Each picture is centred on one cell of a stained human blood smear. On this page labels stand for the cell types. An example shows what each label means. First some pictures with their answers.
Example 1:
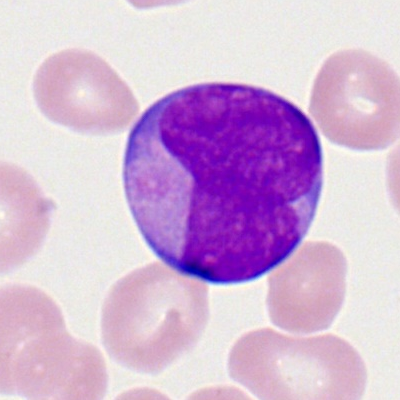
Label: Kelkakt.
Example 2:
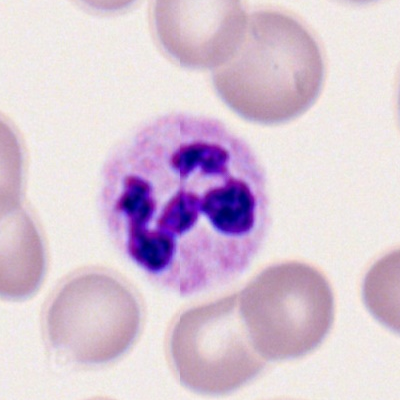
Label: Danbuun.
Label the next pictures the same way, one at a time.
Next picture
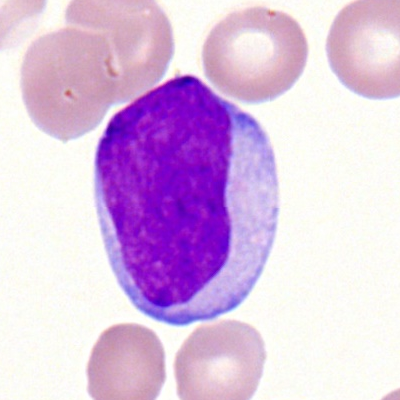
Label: Kelkakt.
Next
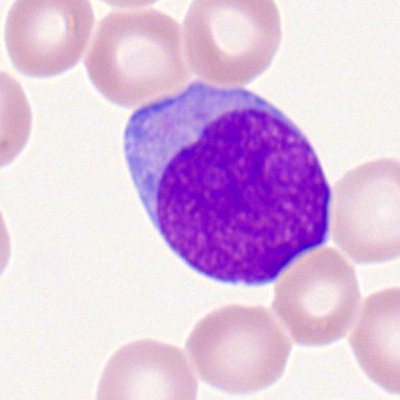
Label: Kelkakt.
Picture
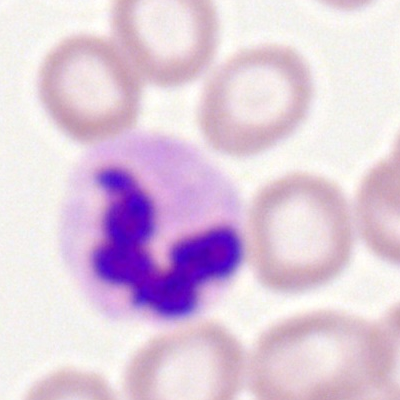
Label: Danbuun.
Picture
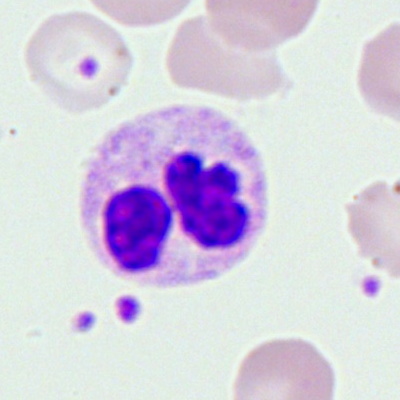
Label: Danbuun.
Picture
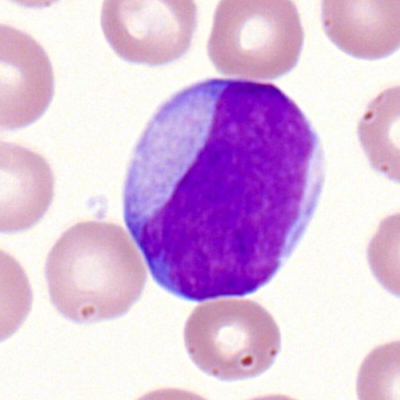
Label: Kelkakt.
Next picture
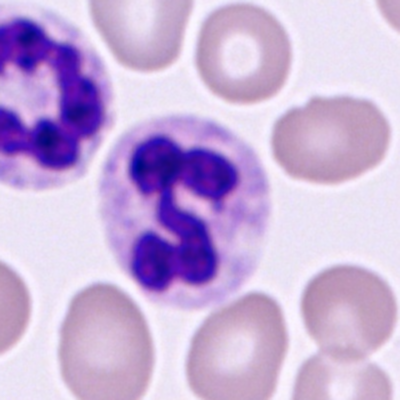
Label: Danbuun.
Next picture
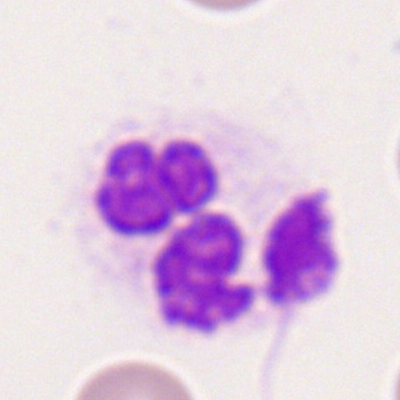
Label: Danbuun.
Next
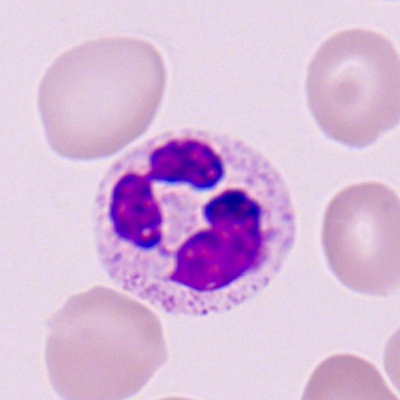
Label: Danbuun.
